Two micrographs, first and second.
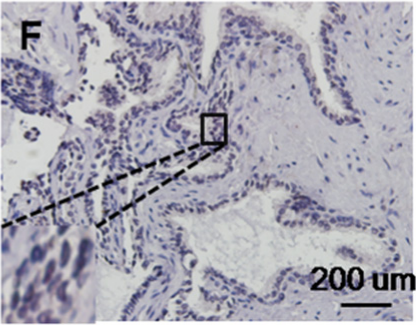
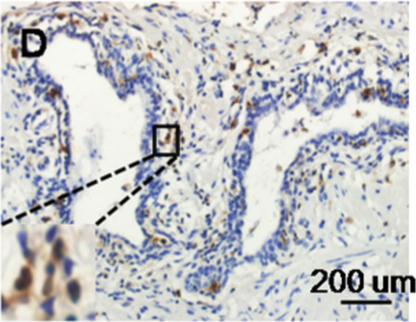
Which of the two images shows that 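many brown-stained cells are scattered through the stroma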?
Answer: the second image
